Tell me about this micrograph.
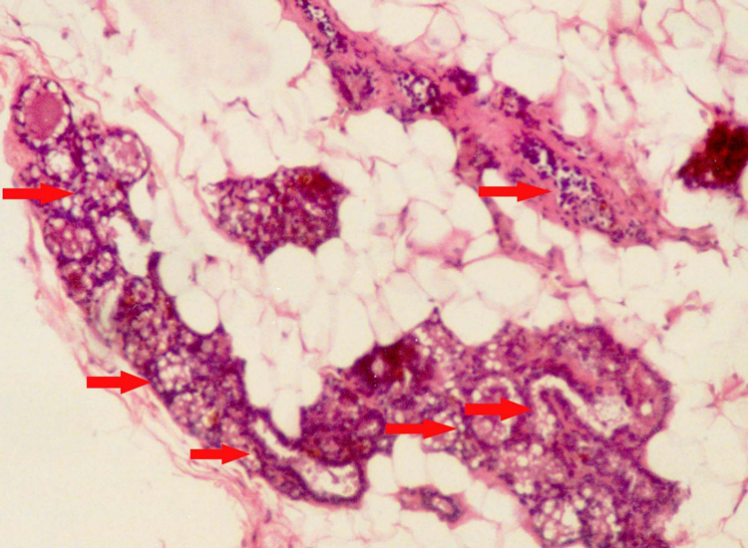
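Mammary tissue in which ductal epithelial structures lie embedded among large, empty-looking, polygonal fat cells. The epithelium forms crowded, lobulated nests and elongated cords. Some of these have small open lumens lined by cells. The cells are packed closely. Their nuclei stain dark purple, and their cytoplasm is pale and finely vacuolated, giving a bubbly look. Scattered brownish-red material lies within some nests. Thin pink fibrous connective tissue borders the tissue at the left edge and runs between the fat cells. The density of the epithelial cells fills much of the duct profiles.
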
